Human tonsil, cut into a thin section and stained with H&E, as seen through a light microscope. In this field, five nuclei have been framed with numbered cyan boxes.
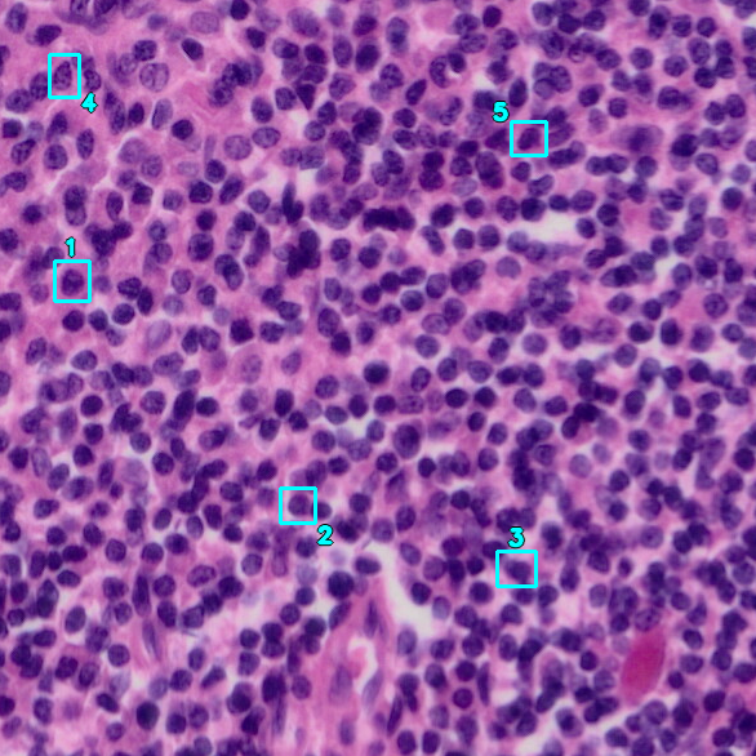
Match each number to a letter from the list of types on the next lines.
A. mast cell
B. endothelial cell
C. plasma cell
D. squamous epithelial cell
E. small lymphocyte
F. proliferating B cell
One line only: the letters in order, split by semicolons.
C; E; E; C; E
